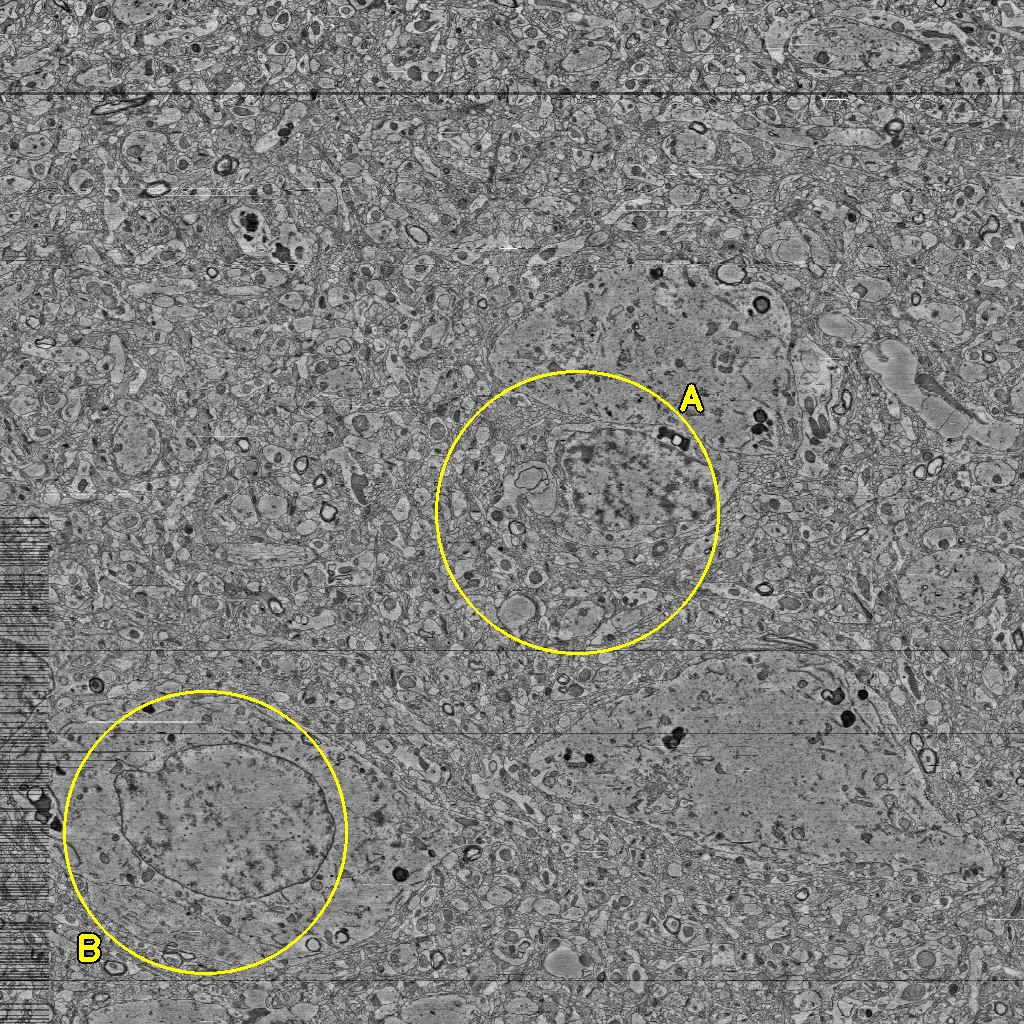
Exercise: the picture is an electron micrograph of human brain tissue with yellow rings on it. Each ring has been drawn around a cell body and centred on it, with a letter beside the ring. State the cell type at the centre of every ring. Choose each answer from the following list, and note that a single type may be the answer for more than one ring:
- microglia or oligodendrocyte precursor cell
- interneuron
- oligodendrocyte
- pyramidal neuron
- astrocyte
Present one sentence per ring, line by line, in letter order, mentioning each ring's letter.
Ring A shows an interneuron at its centre.
Ring B shows a pyramidal neuron at its centre.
